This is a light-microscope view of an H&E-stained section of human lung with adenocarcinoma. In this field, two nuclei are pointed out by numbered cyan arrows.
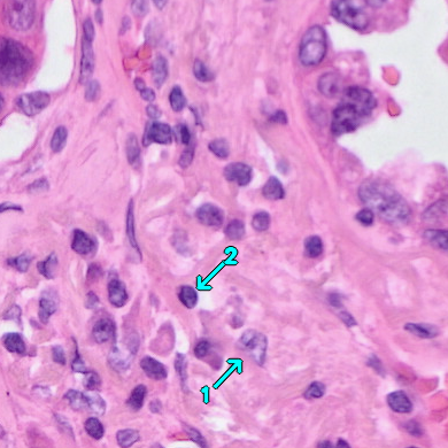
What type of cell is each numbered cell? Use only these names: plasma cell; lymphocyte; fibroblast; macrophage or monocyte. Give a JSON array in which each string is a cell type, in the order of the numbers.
["fibroblast", "lymphocyte"]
